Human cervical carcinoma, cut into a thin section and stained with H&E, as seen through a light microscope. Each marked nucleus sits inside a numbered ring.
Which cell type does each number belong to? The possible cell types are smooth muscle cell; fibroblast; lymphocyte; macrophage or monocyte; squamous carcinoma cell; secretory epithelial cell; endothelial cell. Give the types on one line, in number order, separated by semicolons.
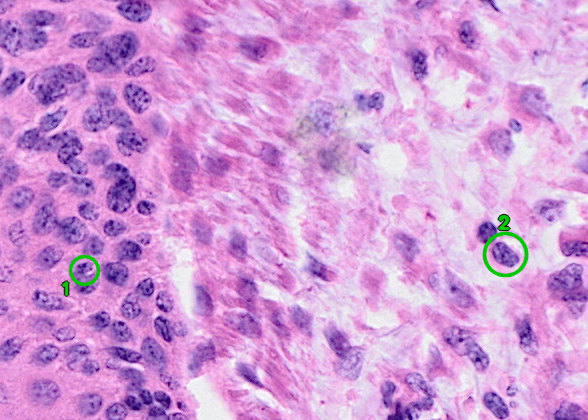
squamous carcinoma cell; lymphocyte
